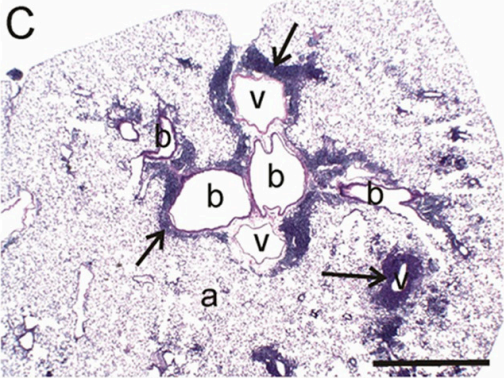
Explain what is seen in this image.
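Low-power view of lung with a central cluster of bronchiolar airways and blood vessels, several of which are surrounded by dark purple cuffs of densely packed lymphoid cells. Smaller dark foci lie around other vessels, while the surrounding alveolar parenchyma appears as a pale, finely meshed network.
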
